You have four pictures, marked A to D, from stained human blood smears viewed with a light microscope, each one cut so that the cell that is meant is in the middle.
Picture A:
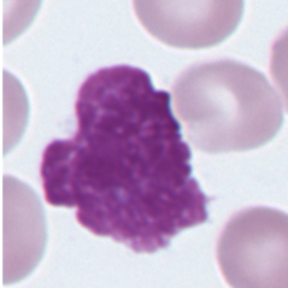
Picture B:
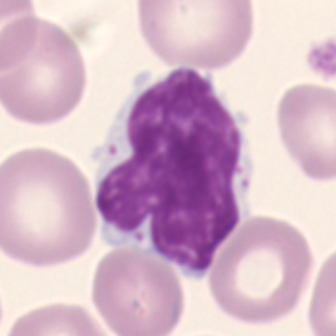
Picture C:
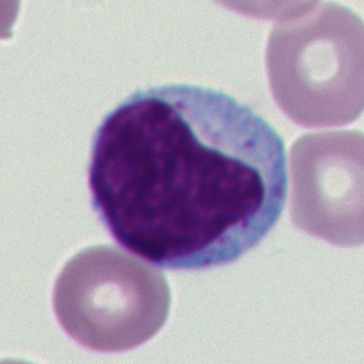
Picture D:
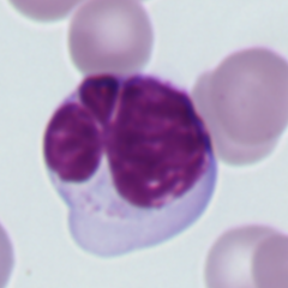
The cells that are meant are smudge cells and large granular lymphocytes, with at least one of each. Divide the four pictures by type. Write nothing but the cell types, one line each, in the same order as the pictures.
smudge cell
large granular lymphocyte
large granular lymphocyte
large granular lymphocyte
